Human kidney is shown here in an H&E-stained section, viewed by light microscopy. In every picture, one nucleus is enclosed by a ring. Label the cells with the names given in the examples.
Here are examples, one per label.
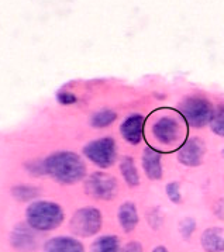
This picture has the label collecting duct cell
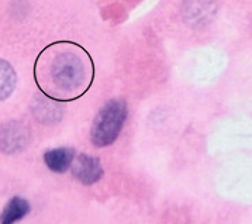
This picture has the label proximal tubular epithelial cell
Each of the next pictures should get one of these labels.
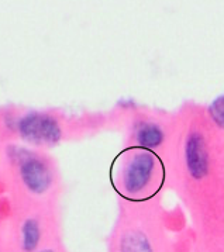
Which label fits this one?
collecting duct cell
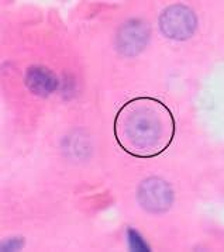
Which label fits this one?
proximal tubular epithelial cell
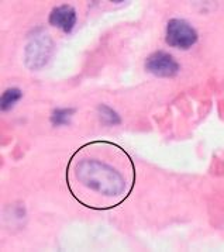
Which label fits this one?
proximal tubular epithelial cell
